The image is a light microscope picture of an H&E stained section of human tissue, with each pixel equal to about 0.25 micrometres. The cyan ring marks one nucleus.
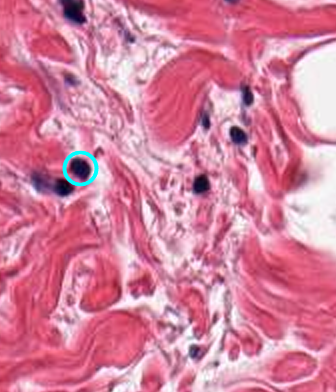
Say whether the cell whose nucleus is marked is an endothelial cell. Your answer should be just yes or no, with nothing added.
no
